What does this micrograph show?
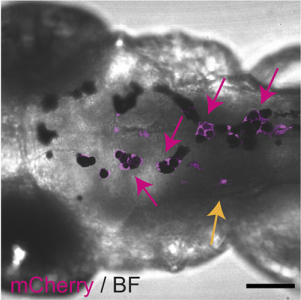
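A dorsal view of the larval head shows a cluster of melanocytes, irregular cells filled with dense black pigment, lying along the midline. The surrounding head tissue appears grey and unpigmented in brightfield, with the eyes at the left edge appearing dark.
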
